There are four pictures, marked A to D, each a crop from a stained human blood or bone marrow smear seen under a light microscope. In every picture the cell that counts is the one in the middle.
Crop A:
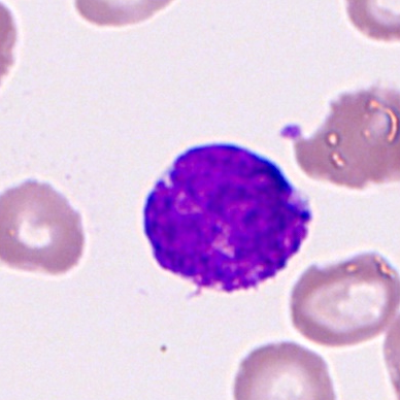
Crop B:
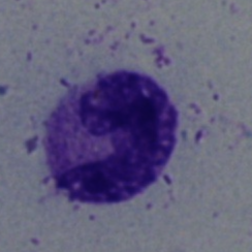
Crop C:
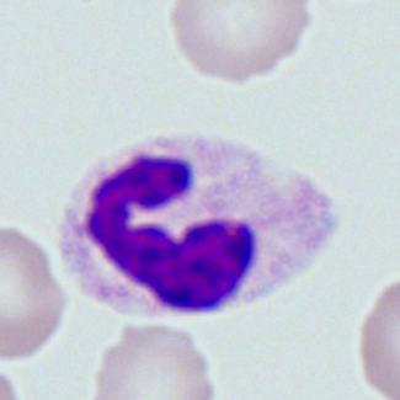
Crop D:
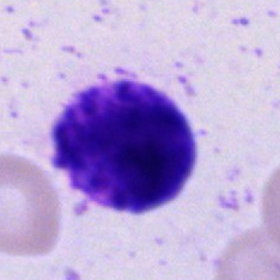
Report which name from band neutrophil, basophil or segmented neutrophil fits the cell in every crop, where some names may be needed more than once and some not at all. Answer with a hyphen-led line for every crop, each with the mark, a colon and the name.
- A: basophil
- B: band neutrophil
- C: segmented neutrophil
- D: basophil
